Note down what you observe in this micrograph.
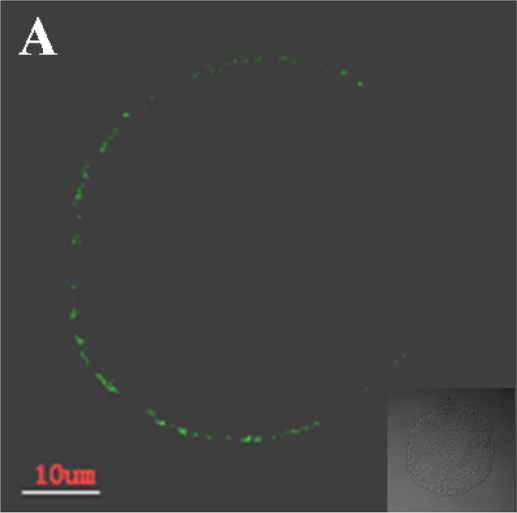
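A large round oocyte is outlined not by a continuous ring but by scattered short green dots and dashes along its edge. Wide stretches of the outline carry no signal at all, and the interior of the cell is dark.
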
